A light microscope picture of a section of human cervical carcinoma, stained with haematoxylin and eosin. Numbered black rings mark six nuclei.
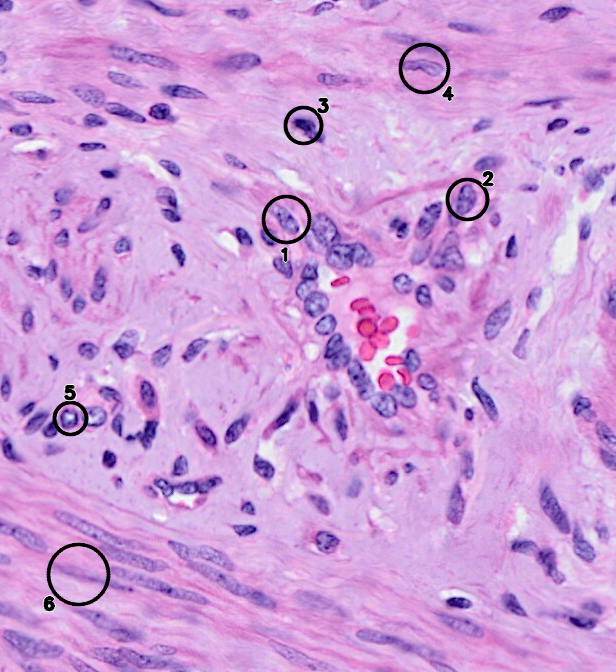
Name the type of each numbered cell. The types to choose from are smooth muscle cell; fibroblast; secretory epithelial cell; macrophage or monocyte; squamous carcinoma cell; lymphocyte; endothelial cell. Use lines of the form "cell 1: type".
cell 1: endothelial cell
cell 2: endothelial cell
cell 3: lymphocyte
cell 4: smooth muscle cell
cell 5: endothelial cell
cell 6: smooth muscle cell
